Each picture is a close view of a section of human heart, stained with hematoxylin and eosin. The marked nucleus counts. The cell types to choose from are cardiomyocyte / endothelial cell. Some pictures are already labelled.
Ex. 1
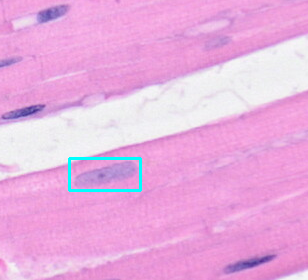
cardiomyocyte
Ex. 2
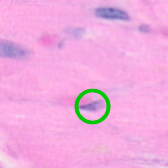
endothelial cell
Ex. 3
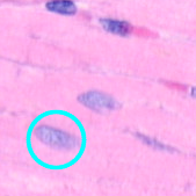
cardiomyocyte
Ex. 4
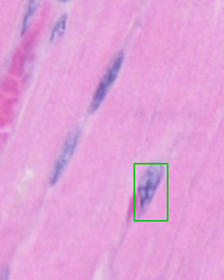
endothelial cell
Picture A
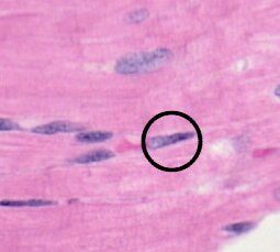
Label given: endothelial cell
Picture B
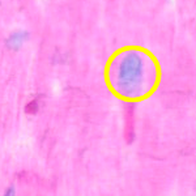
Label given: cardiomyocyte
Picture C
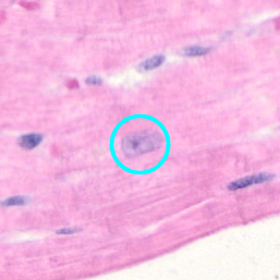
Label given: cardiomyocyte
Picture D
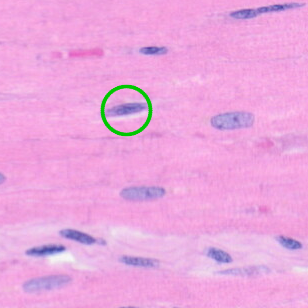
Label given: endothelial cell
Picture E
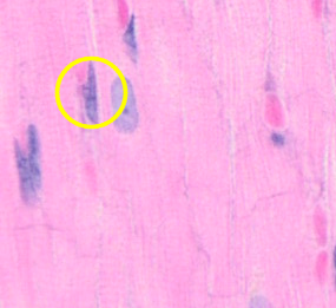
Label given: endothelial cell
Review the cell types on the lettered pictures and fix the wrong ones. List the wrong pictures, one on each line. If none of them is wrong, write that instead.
Nothing to fix; every label fits.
